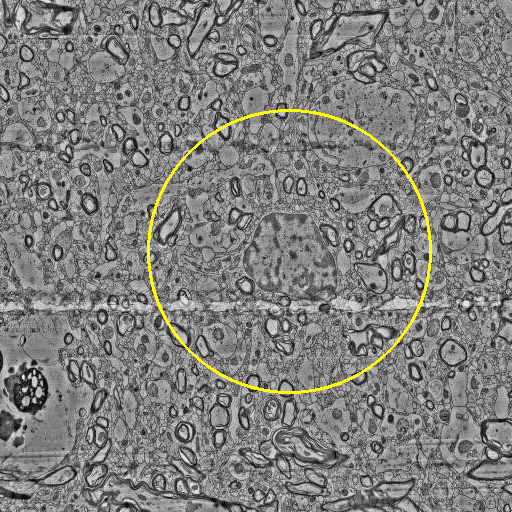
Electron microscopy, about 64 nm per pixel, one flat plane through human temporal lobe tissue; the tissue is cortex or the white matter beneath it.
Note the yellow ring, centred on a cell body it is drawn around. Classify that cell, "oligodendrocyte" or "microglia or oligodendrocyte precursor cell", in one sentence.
The cell the ring is centred on is a microglial cell or oligodendrocyte precursor cell.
